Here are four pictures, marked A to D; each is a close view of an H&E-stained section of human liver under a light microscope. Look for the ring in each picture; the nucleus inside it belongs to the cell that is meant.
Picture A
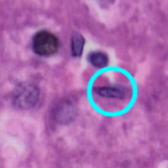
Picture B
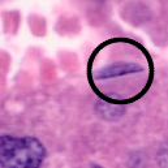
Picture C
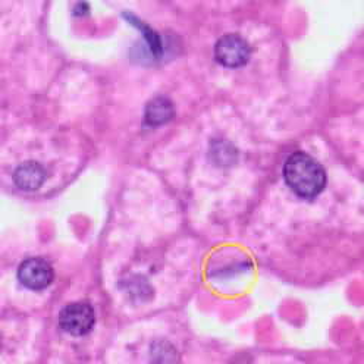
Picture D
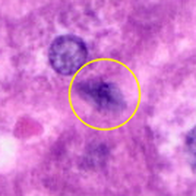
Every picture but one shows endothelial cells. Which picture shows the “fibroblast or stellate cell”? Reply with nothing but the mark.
B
